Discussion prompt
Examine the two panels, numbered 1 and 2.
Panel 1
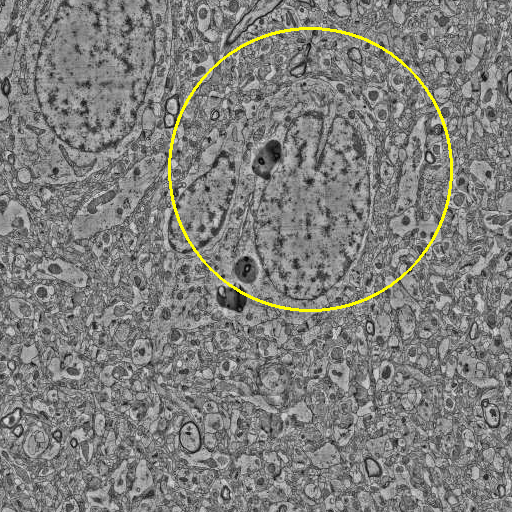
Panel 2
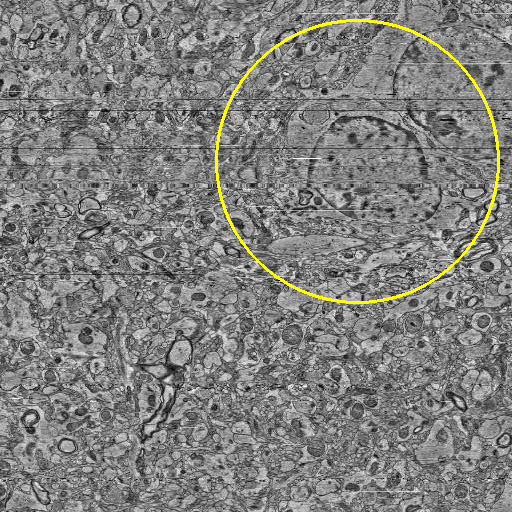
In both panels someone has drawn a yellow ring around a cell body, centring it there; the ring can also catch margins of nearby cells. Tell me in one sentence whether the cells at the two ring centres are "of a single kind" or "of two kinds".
Taken together, the two cells centred in the rings of Panels 1 and 2 are of two kinds.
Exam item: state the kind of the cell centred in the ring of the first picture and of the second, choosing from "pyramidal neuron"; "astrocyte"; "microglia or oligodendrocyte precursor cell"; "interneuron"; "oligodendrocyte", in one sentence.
The first picture shows an interneuron at the ring centre and the second shows an astrocyte.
